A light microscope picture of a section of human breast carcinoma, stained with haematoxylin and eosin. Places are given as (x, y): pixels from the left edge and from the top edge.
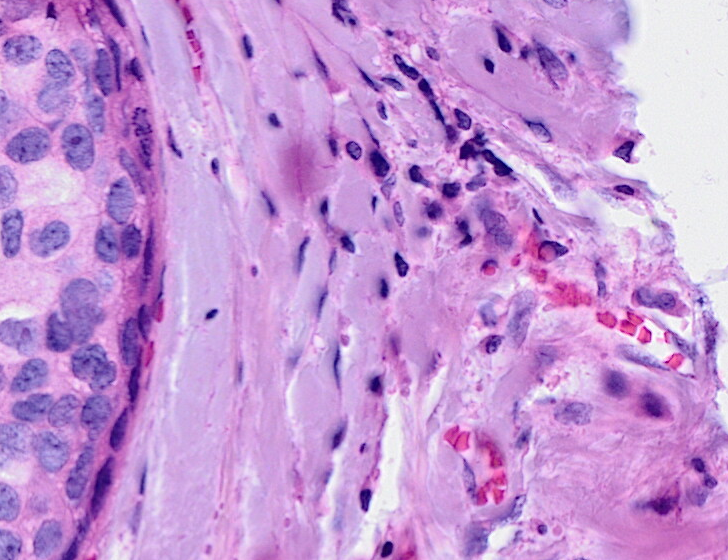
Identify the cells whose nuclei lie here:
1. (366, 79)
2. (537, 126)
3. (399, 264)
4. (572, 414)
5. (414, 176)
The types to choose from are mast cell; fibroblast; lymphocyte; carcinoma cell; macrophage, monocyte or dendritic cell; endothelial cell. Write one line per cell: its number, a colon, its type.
1: fibroblast
2: fibroblast
3: lymphocyte
4: fibroblast
5: lymphocyte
